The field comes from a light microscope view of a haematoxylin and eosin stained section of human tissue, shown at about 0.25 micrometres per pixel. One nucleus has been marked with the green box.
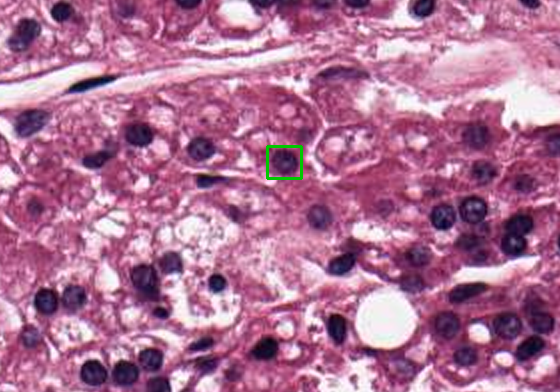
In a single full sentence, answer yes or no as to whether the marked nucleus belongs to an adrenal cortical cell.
Yes, the nucleus indicated by the marking belongs to an adrenal cortical cell.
